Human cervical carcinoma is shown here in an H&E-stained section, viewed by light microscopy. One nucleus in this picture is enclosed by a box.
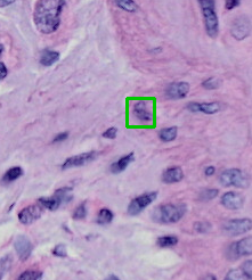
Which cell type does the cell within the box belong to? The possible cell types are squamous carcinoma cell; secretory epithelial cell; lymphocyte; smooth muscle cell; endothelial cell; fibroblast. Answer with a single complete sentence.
Cytologically, the cell within the box is to be regarded as a smooth muscle cell.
